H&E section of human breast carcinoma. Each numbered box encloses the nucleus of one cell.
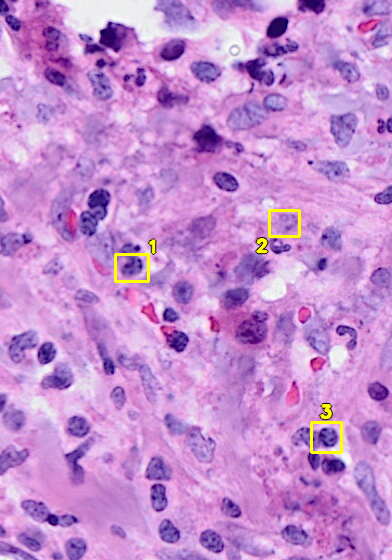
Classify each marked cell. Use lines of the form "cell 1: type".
cell 1: lymphocyte
cell 2: macrophage, monocyte or dendritic cell
cell 3: lymphocyte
